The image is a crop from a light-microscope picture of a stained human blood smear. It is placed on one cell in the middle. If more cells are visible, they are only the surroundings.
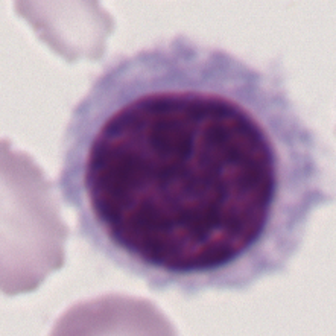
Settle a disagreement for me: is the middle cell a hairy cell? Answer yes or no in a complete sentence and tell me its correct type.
Yes, the middle cell here is a hairy cell.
